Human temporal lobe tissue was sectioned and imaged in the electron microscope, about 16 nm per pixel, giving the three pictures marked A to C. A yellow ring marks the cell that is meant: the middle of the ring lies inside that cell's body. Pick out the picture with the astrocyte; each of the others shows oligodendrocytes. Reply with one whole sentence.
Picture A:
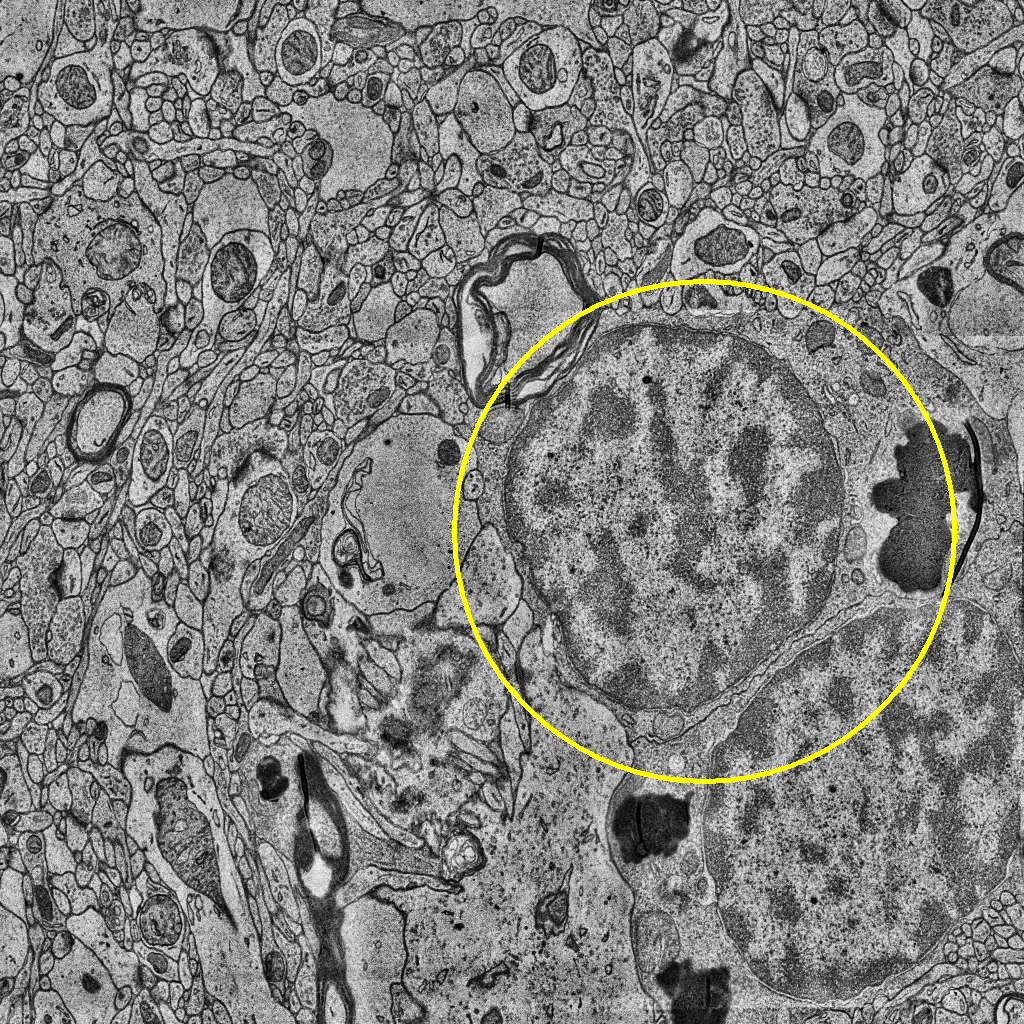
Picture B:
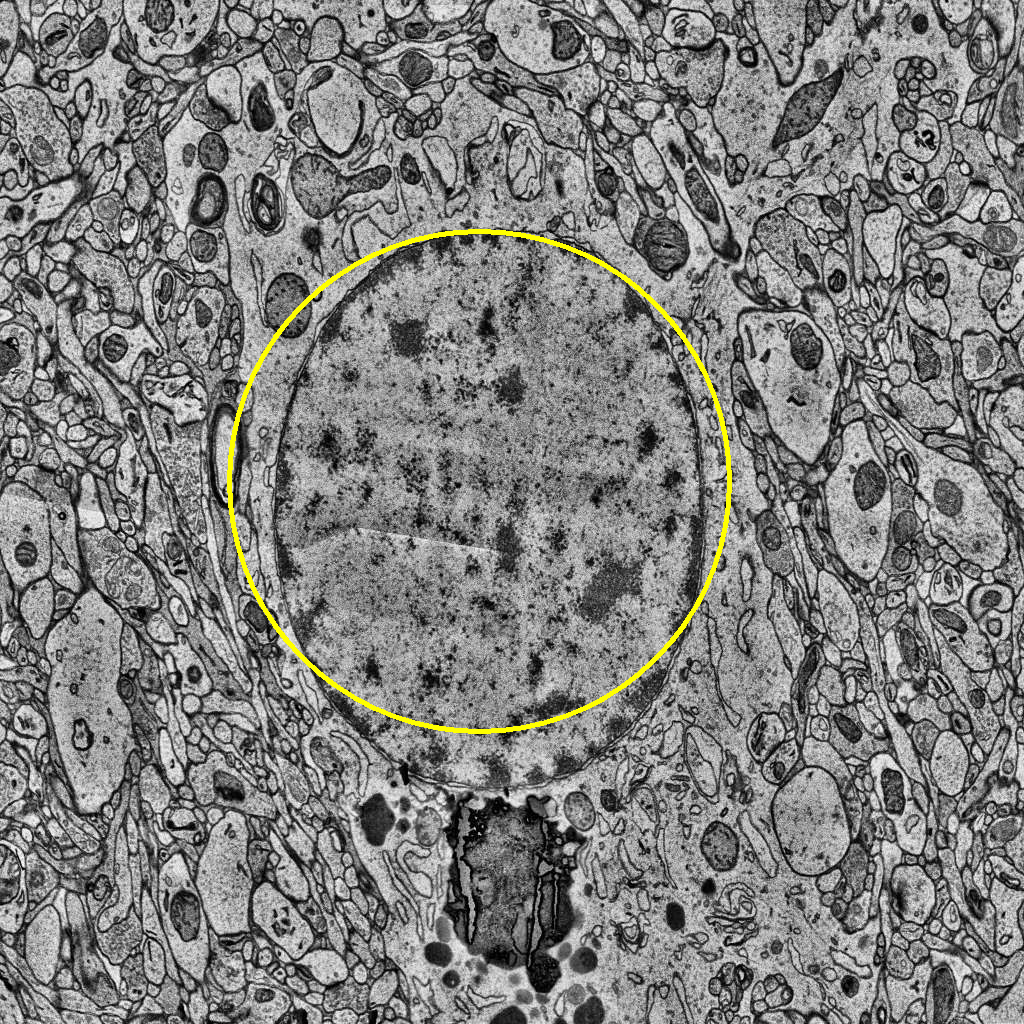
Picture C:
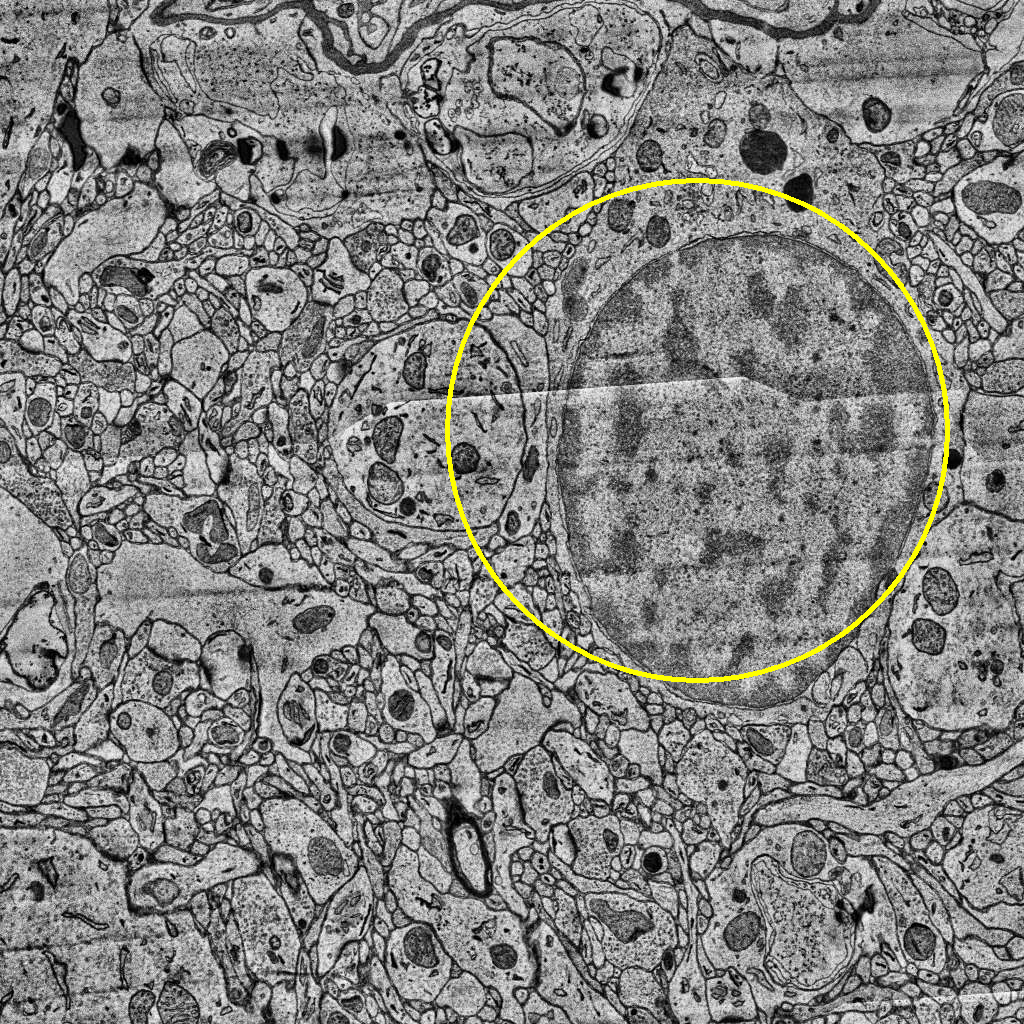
Picture B shows the astrocyte.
